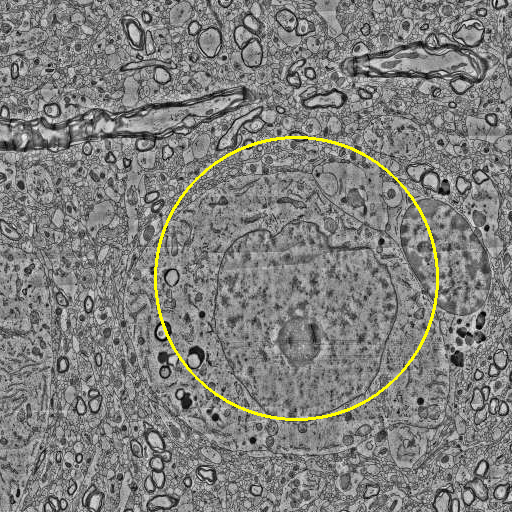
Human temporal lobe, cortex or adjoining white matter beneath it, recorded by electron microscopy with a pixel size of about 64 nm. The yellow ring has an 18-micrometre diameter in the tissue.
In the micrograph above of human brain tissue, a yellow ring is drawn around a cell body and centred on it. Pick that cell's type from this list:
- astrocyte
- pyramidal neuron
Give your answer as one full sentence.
Going by the list, a pyramidal neuron is the cell on which the yellow ring is centred.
